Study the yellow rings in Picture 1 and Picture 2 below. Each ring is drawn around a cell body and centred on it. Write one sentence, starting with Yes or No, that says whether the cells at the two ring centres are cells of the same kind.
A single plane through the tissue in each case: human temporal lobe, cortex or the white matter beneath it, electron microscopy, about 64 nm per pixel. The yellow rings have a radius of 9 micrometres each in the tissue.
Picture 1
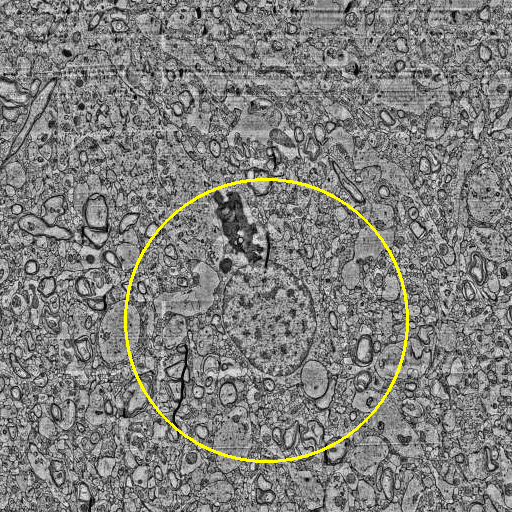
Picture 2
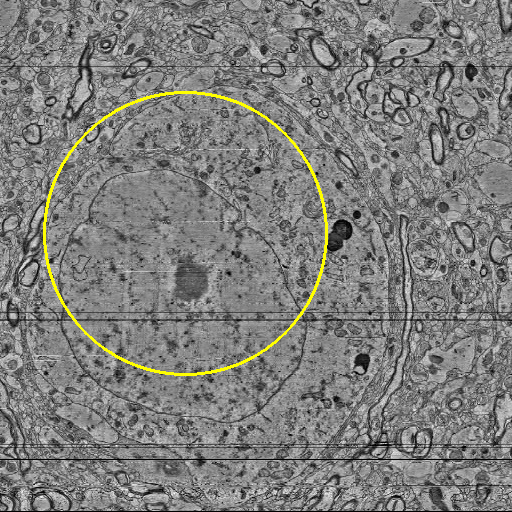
No, the cells at the ring centres are of two kinds.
